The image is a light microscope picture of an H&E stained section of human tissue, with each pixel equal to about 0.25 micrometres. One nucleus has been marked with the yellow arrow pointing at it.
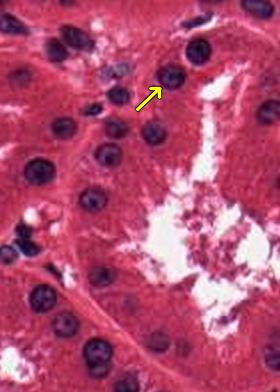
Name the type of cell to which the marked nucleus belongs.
proximal tubule cell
